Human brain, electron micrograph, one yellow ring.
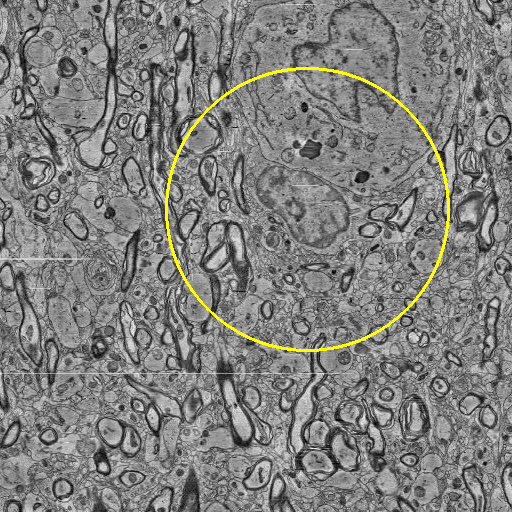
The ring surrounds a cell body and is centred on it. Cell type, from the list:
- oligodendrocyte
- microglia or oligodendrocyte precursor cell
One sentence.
The yellow ring circles an oligodendrocyte.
